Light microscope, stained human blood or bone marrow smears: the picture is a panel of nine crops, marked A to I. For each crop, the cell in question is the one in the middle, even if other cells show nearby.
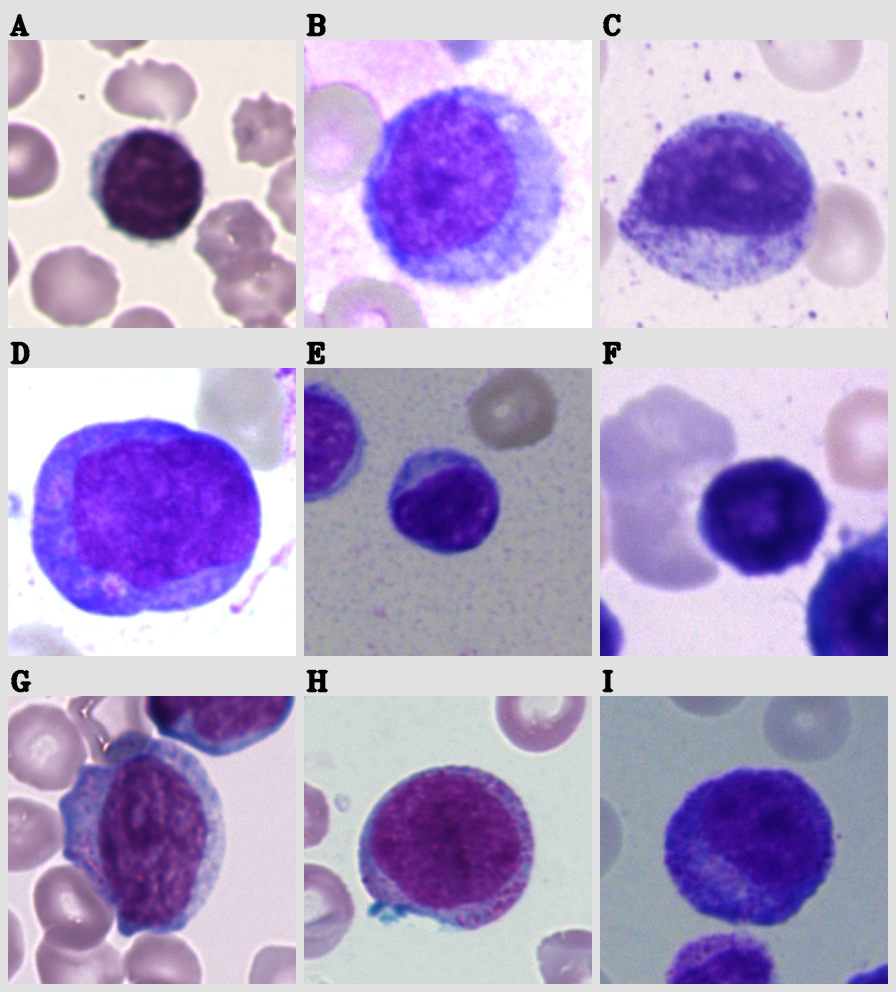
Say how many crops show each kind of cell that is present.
promyelocyte: 6
lymphocyte: 3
